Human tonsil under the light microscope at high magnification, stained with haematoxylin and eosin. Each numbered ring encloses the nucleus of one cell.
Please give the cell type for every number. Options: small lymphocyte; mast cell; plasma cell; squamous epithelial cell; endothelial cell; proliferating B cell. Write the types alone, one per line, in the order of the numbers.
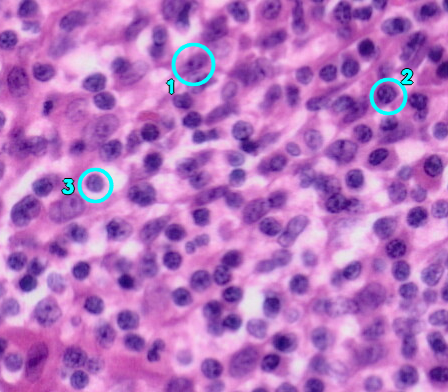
squamous epithelial cell
plasma cell
squamous epithelial cell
